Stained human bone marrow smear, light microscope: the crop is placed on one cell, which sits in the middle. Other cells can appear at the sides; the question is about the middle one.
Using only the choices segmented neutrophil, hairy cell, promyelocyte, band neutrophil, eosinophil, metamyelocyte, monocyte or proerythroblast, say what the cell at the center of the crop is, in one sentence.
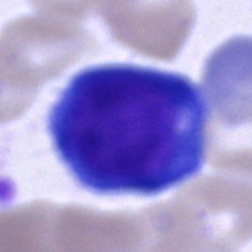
The cell under consideration, at the middle of the crop, is a proerythroblast.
